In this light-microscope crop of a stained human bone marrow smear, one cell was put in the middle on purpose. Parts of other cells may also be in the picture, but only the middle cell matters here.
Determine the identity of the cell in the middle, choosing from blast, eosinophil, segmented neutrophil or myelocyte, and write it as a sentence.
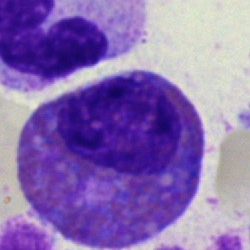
As for the cell in the middle, it is an eosinophil.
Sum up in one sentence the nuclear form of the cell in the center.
A single compact nucleus is present, shaped round, oval or like a kidney.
